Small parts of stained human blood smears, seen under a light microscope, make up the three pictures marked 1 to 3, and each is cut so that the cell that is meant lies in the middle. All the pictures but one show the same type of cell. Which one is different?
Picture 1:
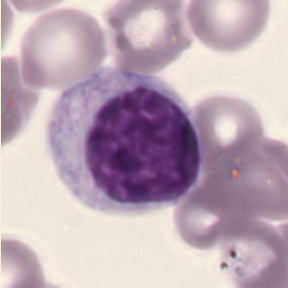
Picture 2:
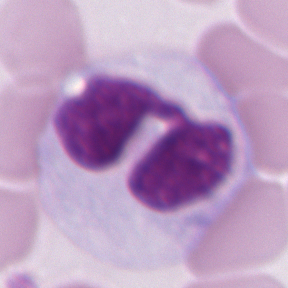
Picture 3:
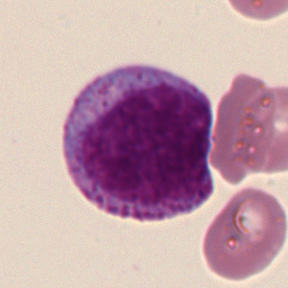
2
